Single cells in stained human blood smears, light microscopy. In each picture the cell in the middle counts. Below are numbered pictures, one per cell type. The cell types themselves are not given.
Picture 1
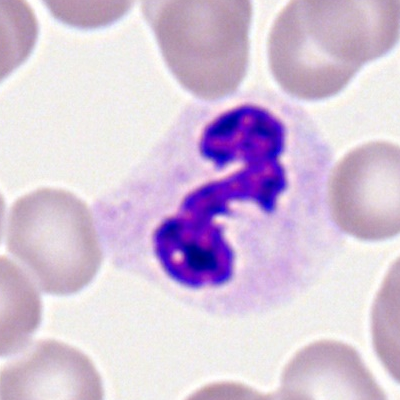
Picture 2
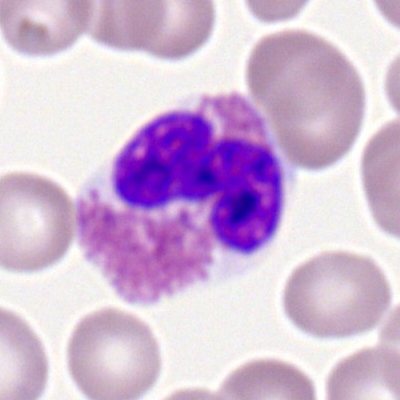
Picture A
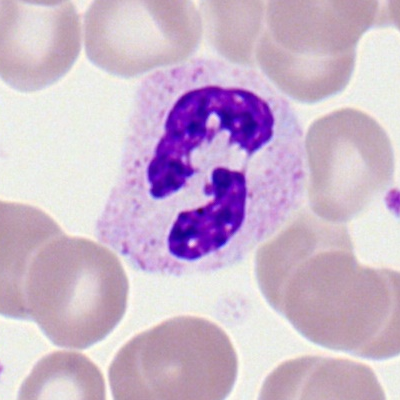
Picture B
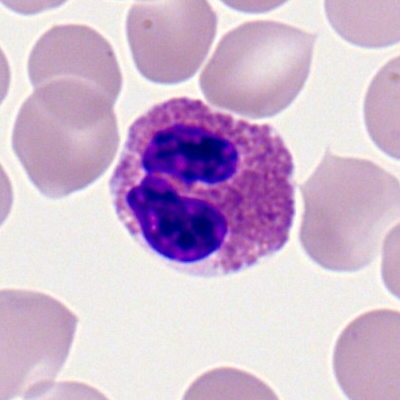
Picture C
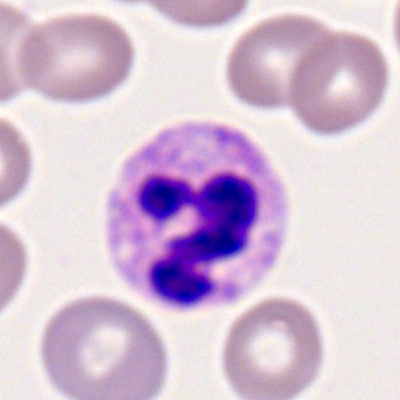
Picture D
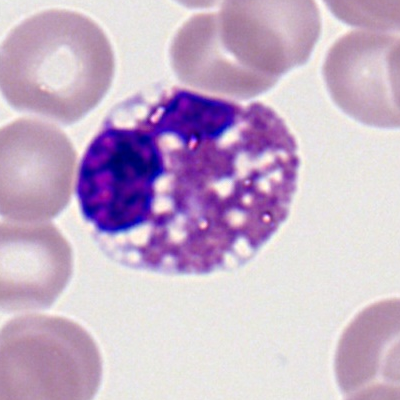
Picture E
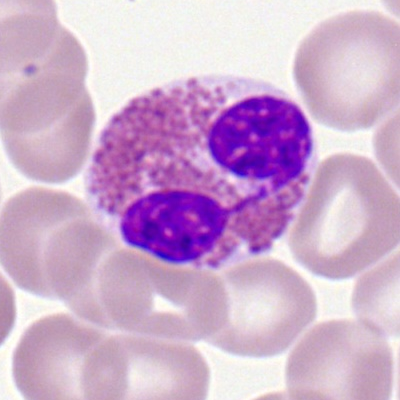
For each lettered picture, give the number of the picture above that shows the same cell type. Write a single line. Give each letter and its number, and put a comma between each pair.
A 1, B 2, C 1, D 2, E 2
